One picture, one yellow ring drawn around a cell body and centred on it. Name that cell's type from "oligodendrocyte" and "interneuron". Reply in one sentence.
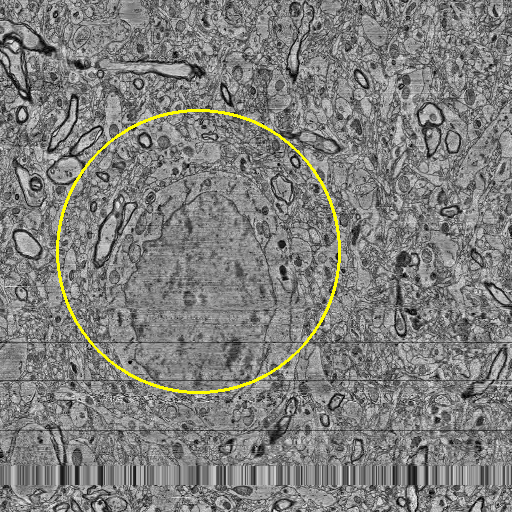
Centred in the ring is an interneuron.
